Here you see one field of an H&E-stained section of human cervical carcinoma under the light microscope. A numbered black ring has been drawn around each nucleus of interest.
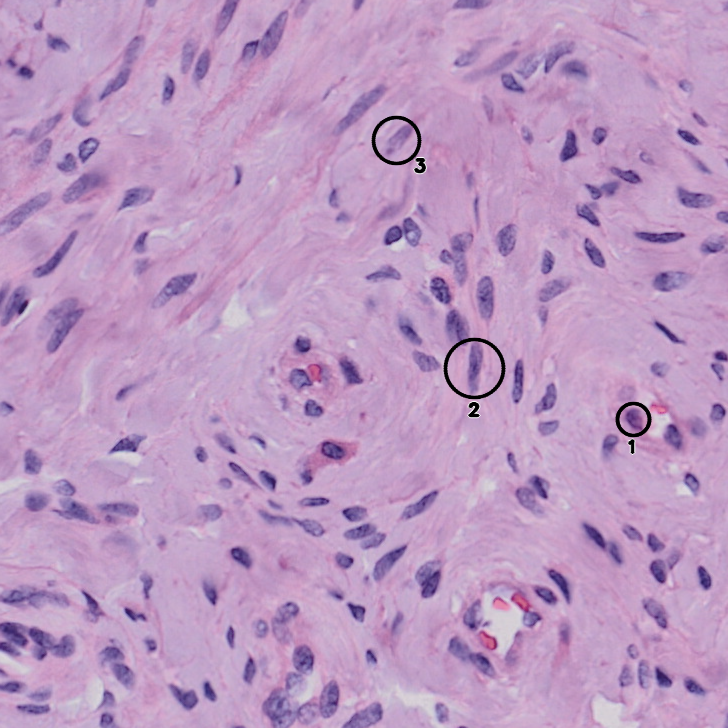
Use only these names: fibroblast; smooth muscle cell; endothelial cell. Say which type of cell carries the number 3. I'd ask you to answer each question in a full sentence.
The cell carrying label 3 is identified as a smooth muscle cell.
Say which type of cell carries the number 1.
In this section, the cell numbered 1 is an endothelial cell.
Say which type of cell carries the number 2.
Corresponding to a fibroblast is the cell labelled 2.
